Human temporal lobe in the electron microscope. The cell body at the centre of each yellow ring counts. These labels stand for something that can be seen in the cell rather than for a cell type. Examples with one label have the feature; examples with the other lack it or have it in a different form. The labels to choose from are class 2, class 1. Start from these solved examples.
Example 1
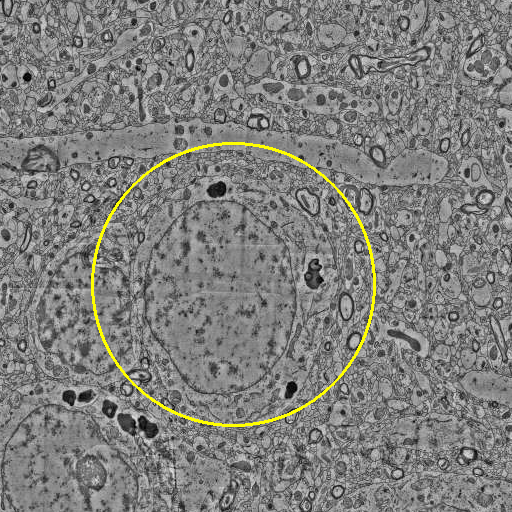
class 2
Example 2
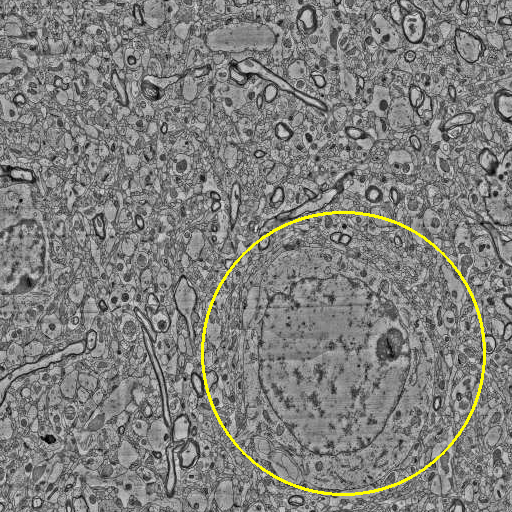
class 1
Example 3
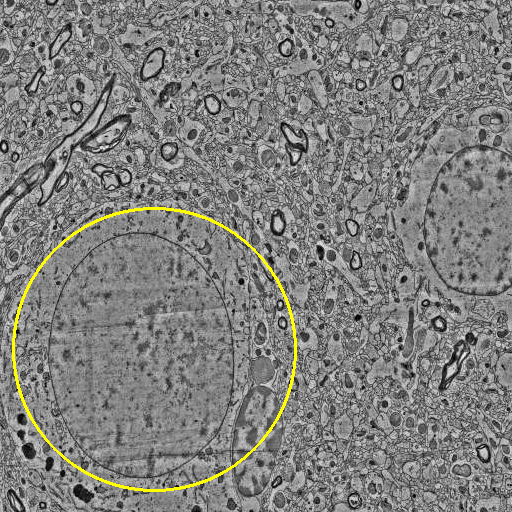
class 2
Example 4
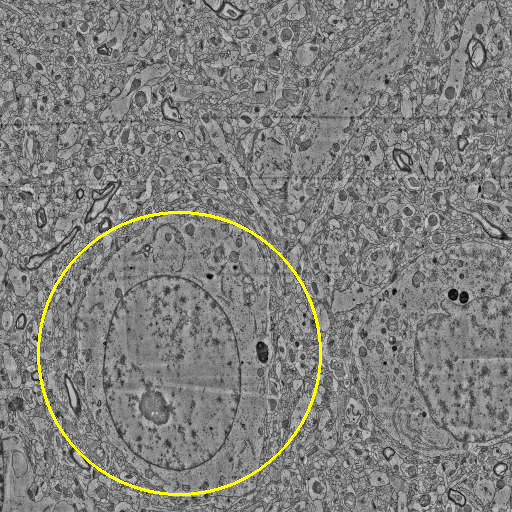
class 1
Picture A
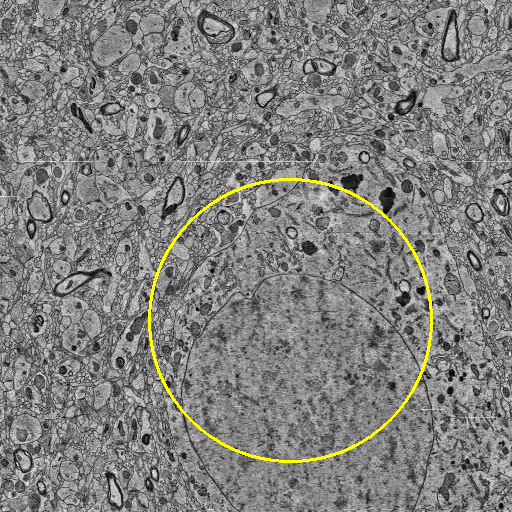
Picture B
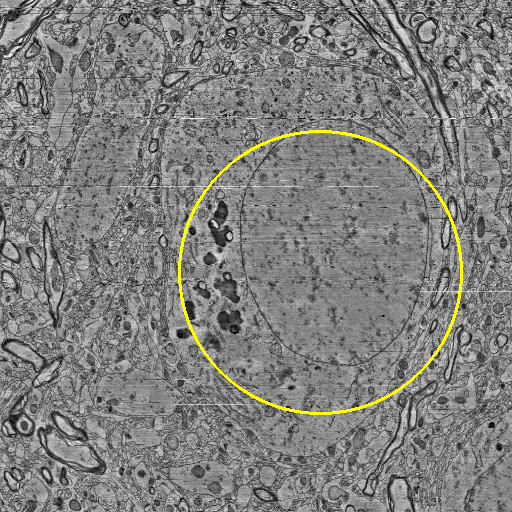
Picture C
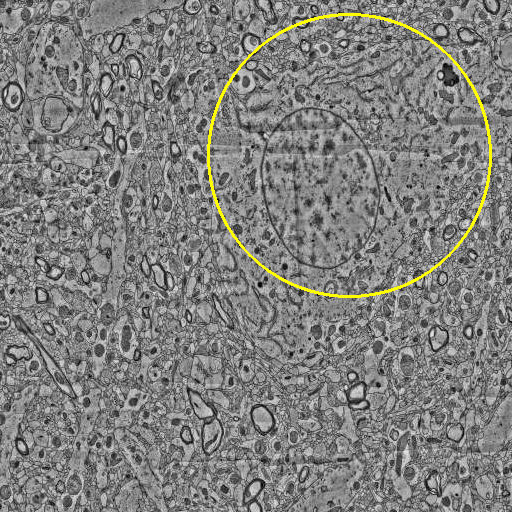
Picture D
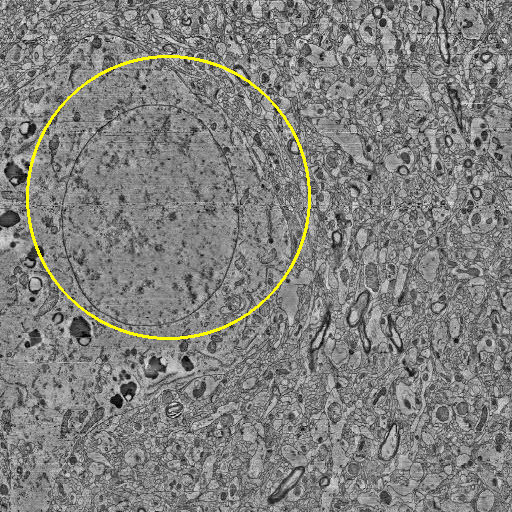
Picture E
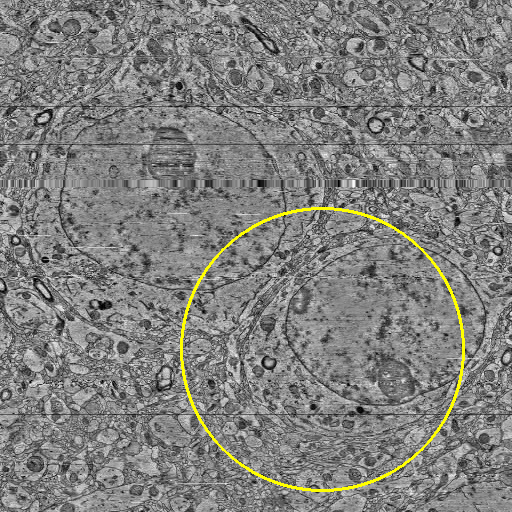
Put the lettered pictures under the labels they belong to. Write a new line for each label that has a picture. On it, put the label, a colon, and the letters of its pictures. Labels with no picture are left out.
class 2: A, B, C, D
class 1: E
